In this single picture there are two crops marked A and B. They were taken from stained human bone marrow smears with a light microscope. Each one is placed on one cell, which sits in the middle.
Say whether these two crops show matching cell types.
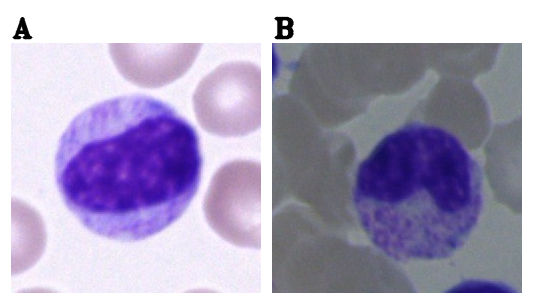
yes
